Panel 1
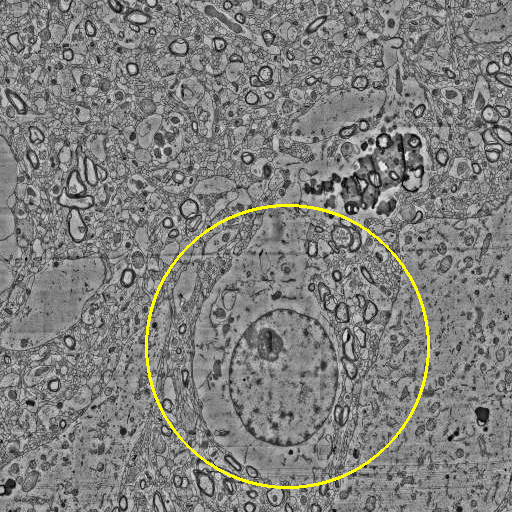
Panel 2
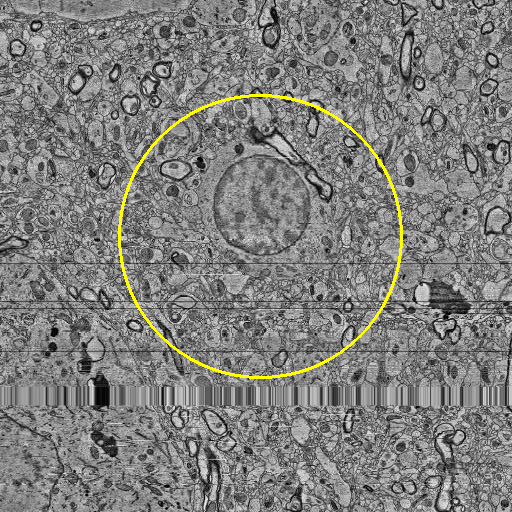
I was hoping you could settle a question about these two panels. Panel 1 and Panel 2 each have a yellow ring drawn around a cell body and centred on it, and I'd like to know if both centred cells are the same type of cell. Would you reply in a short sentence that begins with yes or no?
No, they are two types of cell.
